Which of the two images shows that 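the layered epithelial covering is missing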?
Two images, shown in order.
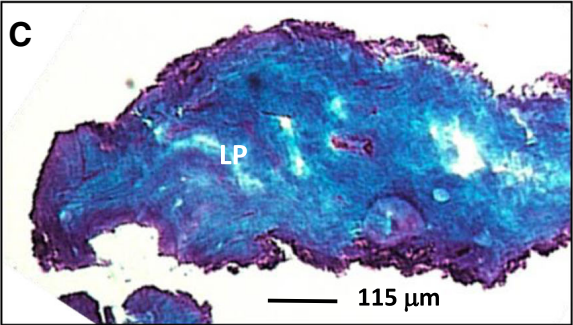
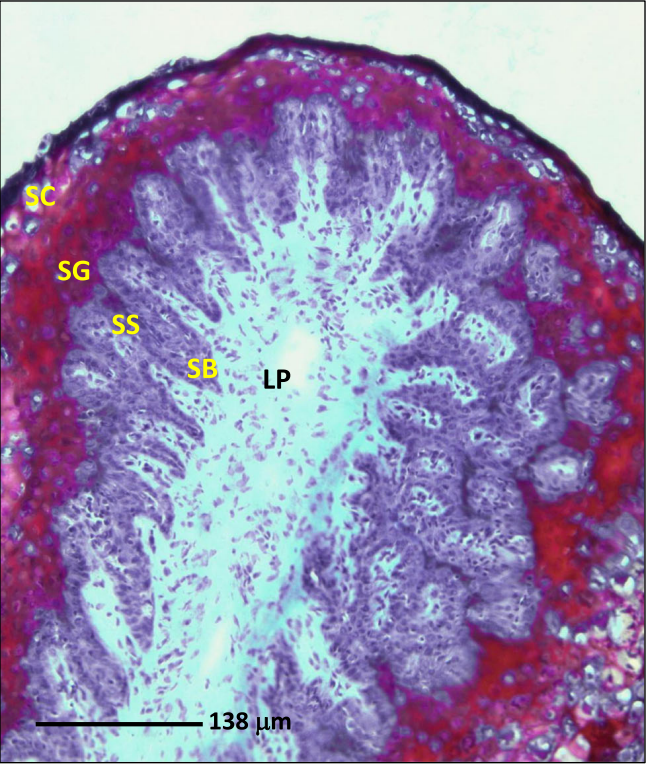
the first image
